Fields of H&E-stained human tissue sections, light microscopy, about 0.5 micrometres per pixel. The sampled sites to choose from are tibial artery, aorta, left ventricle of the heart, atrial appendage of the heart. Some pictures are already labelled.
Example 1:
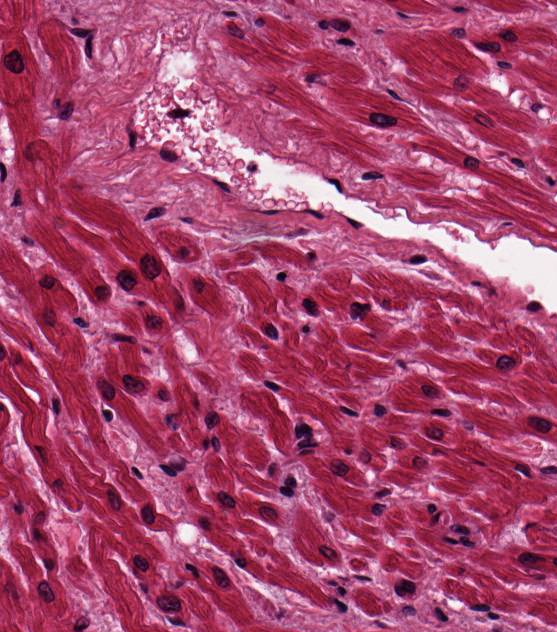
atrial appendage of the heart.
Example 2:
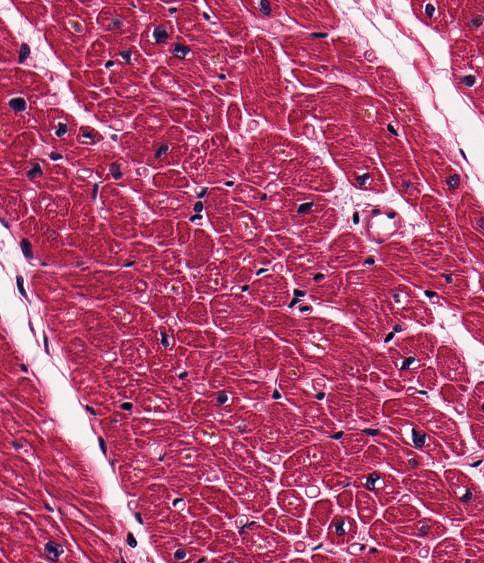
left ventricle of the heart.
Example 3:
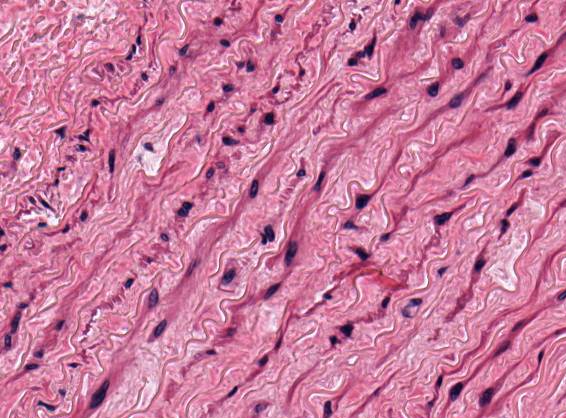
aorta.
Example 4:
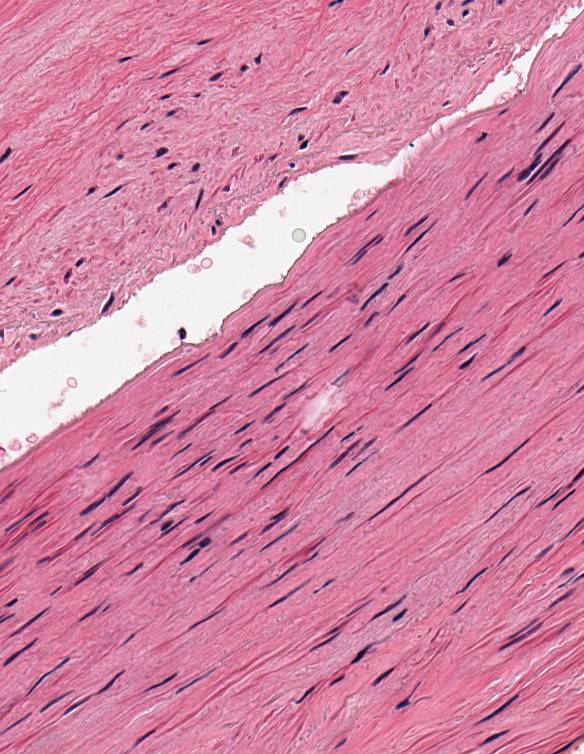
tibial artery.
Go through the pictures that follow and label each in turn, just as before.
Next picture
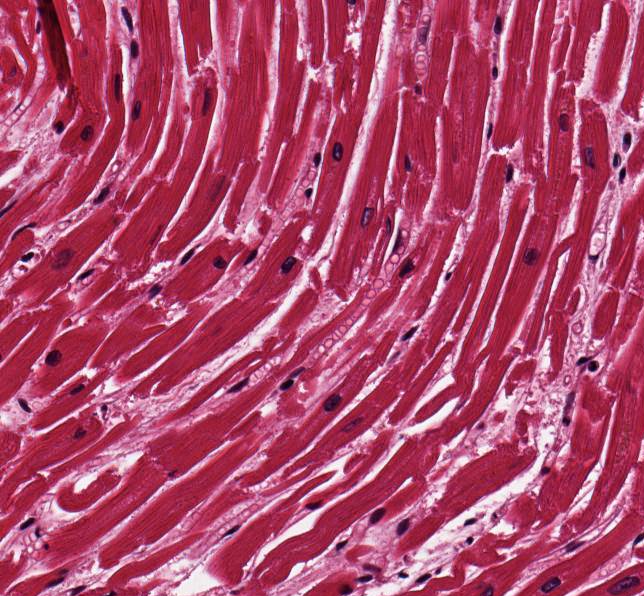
left ventricle of the heart.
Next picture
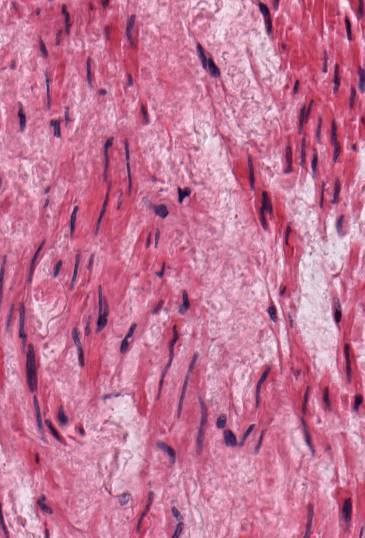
tibial artery.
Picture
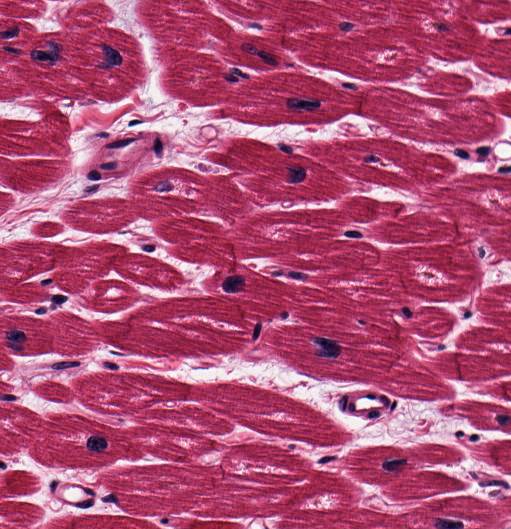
left ventricle of the heart.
